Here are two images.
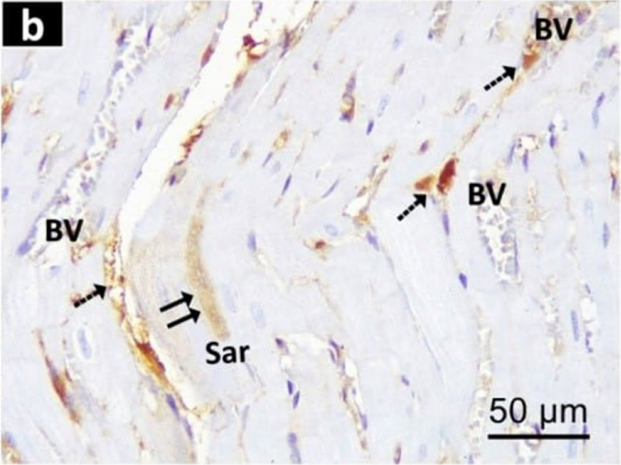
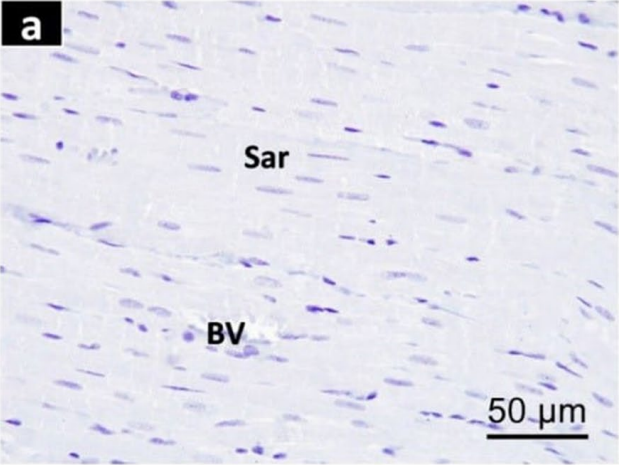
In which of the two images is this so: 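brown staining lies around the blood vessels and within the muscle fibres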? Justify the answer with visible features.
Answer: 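The first image. First image: dense brown deposits beside vessels and a brown band within a muscle fibre. Second image: only blue nuclei on pale unstained fibres, no brown.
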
